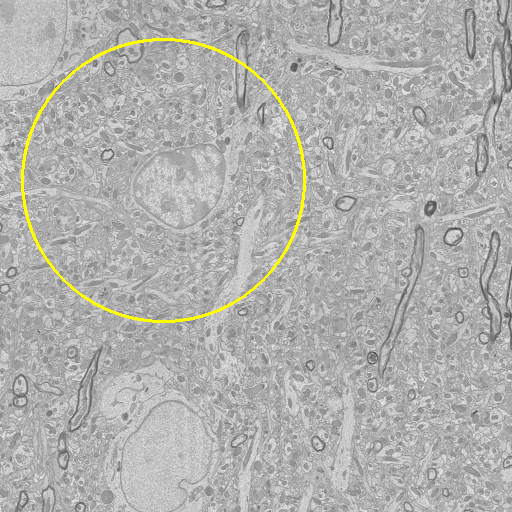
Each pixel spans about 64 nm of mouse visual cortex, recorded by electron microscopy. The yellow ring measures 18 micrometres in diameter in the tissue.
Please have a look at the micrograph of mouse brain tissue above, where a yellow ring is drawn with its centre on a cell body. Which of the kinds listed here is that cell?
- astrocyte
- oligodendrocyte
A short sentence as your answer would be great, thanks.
At the centre of the ring sits an oligodendrocyte.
